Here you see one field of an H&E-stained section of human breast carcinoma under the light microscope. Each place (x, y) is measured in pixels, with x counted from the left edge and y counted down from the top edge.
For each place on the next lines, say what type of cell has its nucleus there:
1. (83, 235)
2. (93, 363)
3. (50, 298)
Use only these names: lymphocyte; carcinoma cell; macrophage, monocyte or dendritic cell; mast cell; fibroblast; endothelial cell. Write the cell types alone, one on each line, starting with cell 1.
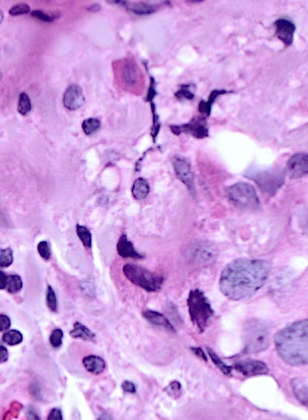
lymphocyte
mast cell
lymphocyte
